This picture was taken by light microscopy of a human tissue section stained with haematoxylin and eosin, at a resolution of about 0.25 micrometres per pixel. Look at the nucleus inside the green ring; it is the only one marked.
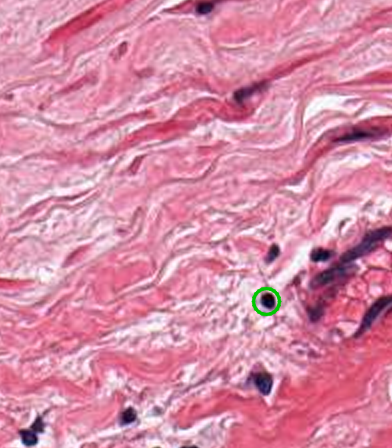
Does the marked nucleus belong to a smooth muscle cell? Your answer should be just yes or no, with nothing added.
no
